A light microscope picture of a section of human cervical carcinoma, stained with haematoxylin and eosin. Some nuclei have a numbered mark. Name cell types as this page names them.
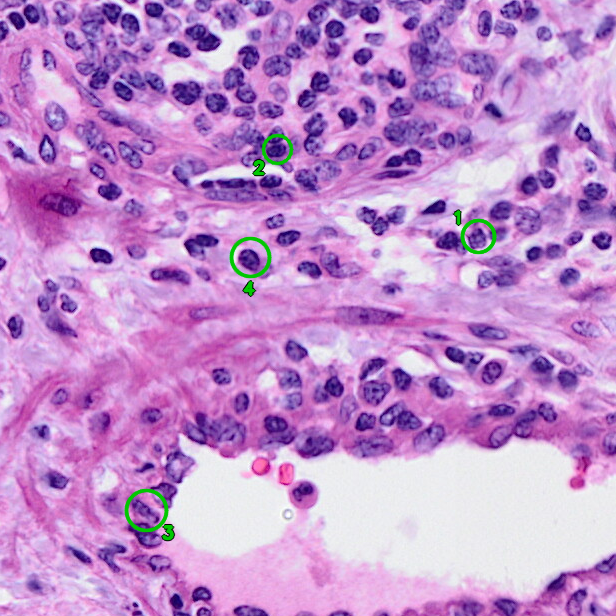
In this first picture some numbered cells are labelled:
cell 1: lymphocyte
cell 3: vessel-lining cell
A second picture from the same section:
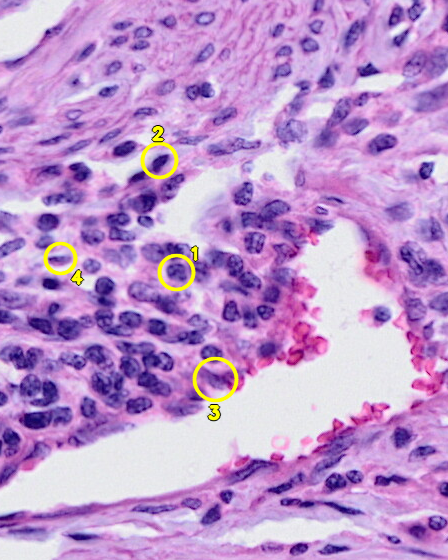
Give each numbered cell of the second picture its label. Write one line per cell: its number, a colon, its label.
1: lymphocyte
2: lymphocyte
3: vessel-lining cell
4: lymphocyte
